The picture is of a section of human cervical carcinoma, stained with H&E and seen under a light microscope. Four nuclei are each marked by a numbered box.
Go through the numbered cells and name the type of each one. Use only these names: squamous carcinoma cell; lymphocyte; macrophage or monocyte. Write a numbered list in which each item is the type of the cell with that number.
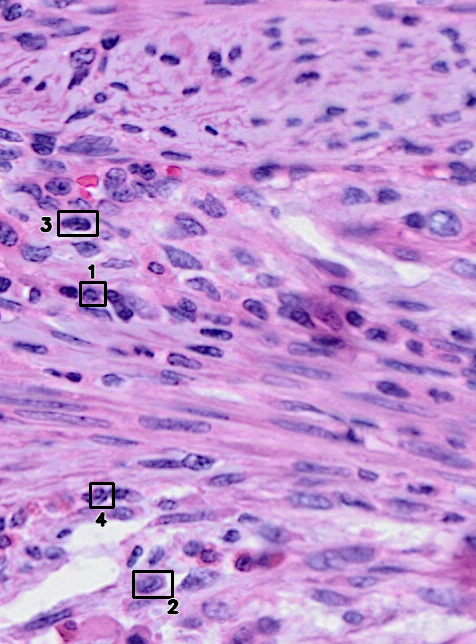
1. lymphocyte
2. macrophage or monocyte
3. lymphocyte
4. lymphocyte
